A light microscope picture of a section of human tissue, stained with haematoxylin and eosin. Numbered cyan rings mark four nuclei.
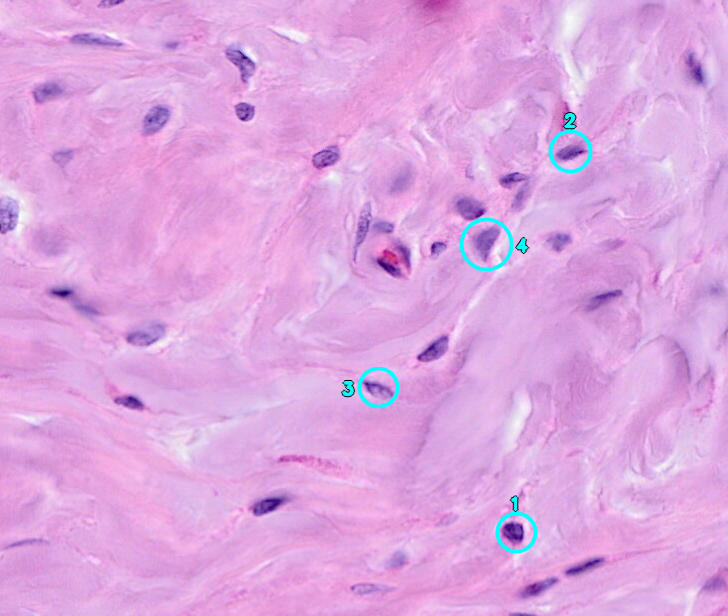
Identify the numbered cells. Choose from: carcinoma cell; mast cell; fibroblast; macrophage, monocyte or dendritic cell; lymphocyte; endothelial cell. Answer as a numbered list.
1. lymphocyte
2. fibroblast
3. fibroblast
4. fibroblast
